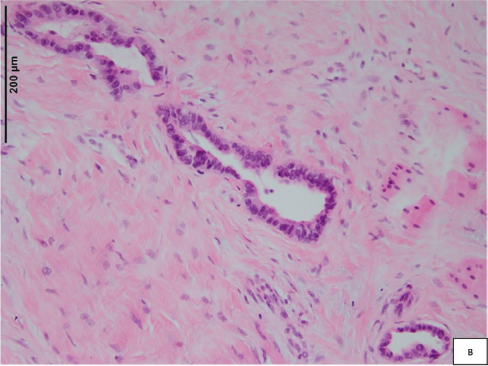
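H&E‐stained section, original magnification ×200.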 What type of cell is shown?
atypical columnar epithelial cells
